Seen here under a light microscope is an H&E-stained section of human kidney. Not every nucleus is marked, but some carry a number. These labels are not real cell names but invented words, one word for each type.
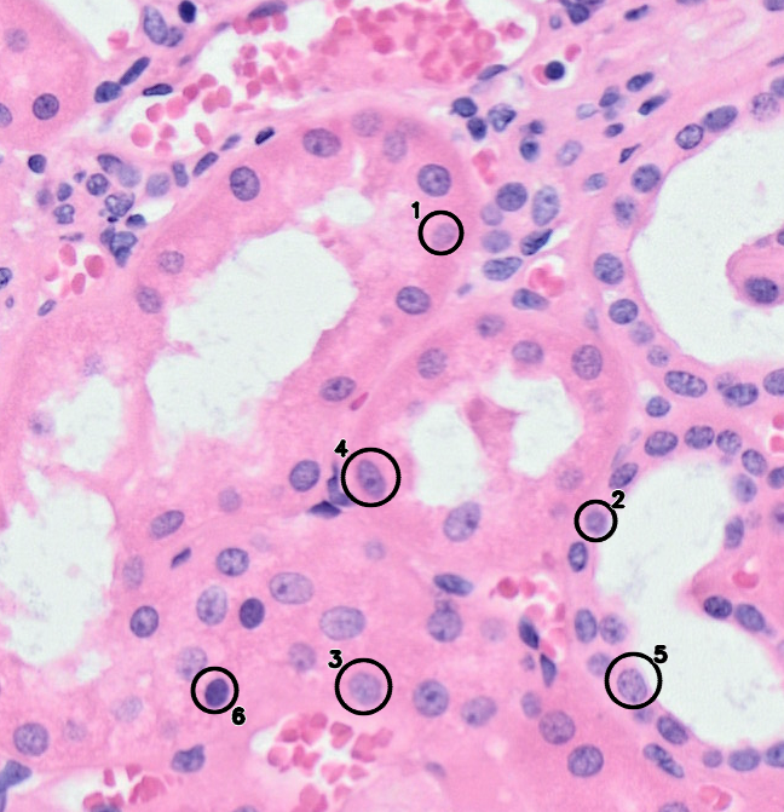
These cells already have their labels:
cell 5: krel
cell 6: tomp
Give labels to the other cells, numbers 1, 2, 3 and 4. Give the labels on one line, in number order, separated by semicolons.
tomp; krel; tomp; tomp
